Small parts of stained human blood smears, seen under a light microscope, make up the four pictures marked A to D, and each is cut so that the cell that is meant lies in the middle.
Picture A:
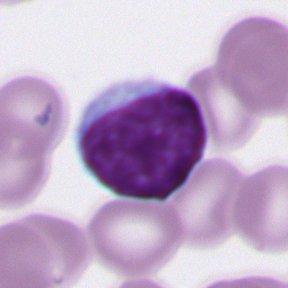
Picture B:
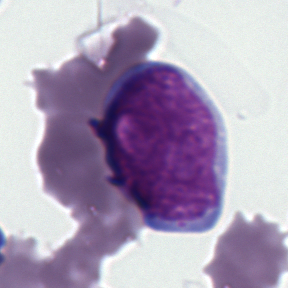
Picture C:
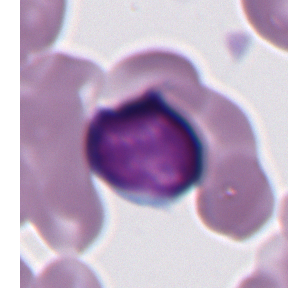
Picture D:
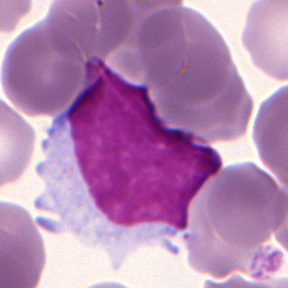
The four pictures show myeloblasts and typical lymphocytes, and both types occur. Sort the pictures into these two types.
A: typical lymphocyte
B: myeloblast
C: typical lymphocyte
D: typical lymphocyte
